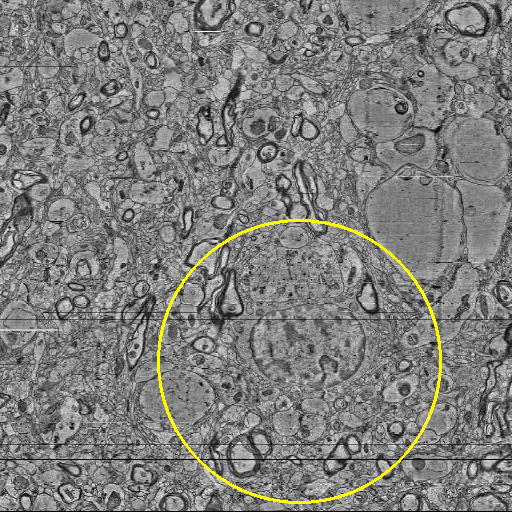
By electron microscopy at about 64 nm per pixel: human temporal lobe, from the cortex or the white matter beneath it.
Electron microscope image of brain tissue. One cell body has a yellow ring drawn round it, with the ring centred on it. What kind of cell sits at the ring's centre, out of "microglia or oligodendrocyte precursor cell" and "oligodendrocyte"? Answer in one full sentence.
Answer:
It is an oligodendrocyte whose cell body sits at the centre of the yellow ring.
